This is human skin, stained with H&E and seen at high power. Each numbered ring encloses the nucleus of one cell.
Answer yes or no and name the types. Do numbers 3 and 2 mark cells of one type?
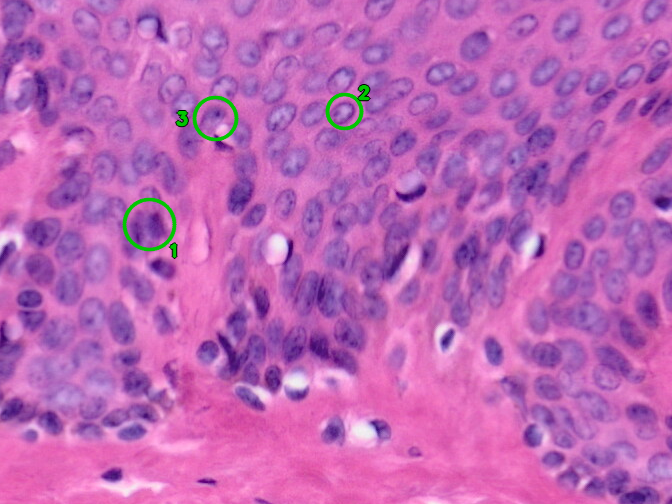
No, unlike cell 2, which is a suprabasal keratinocyte, cell 3 is a basal keratinocyte.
